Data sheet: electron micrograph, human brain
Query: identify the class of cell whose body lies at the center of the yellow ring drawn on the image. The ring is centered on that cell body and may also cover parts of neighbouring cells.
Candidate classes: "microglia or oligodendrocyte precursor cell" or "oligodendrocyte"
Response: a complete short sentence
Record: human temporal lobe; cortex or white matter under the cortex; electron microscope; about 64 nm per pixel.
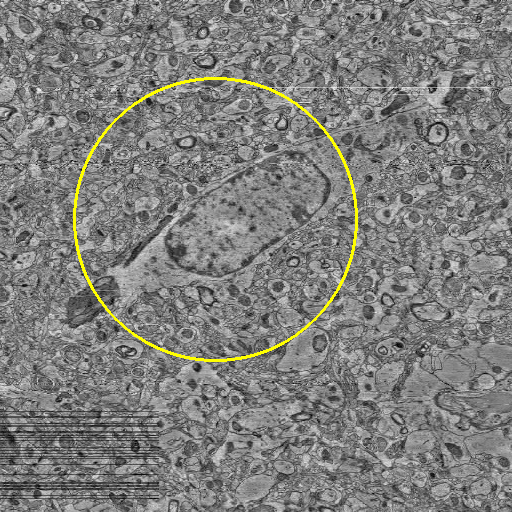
At the center of the ring lies a microglial cell or oligodendrocyte precursor cell.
